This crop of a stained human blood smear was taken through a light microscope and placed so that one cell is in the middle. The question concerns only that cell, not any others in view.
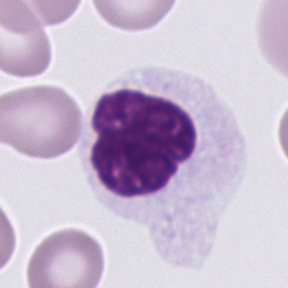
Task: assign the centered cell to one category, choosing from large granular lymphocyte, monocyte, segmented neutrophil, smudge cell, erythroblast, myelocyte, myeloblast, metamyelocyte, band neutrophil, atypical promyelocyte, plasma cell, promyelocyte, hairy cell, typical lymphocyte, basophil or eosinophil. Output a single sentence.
Within this crop, a segmented neutrophil occupies the central position.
